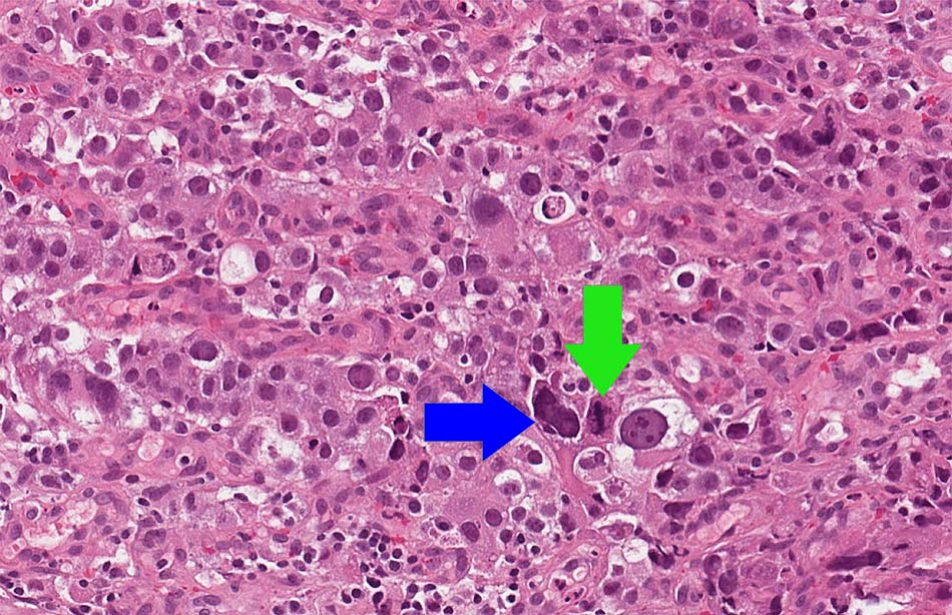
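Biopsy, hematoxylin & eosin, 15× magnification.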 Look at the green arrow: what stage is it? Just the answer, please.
Mitoses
